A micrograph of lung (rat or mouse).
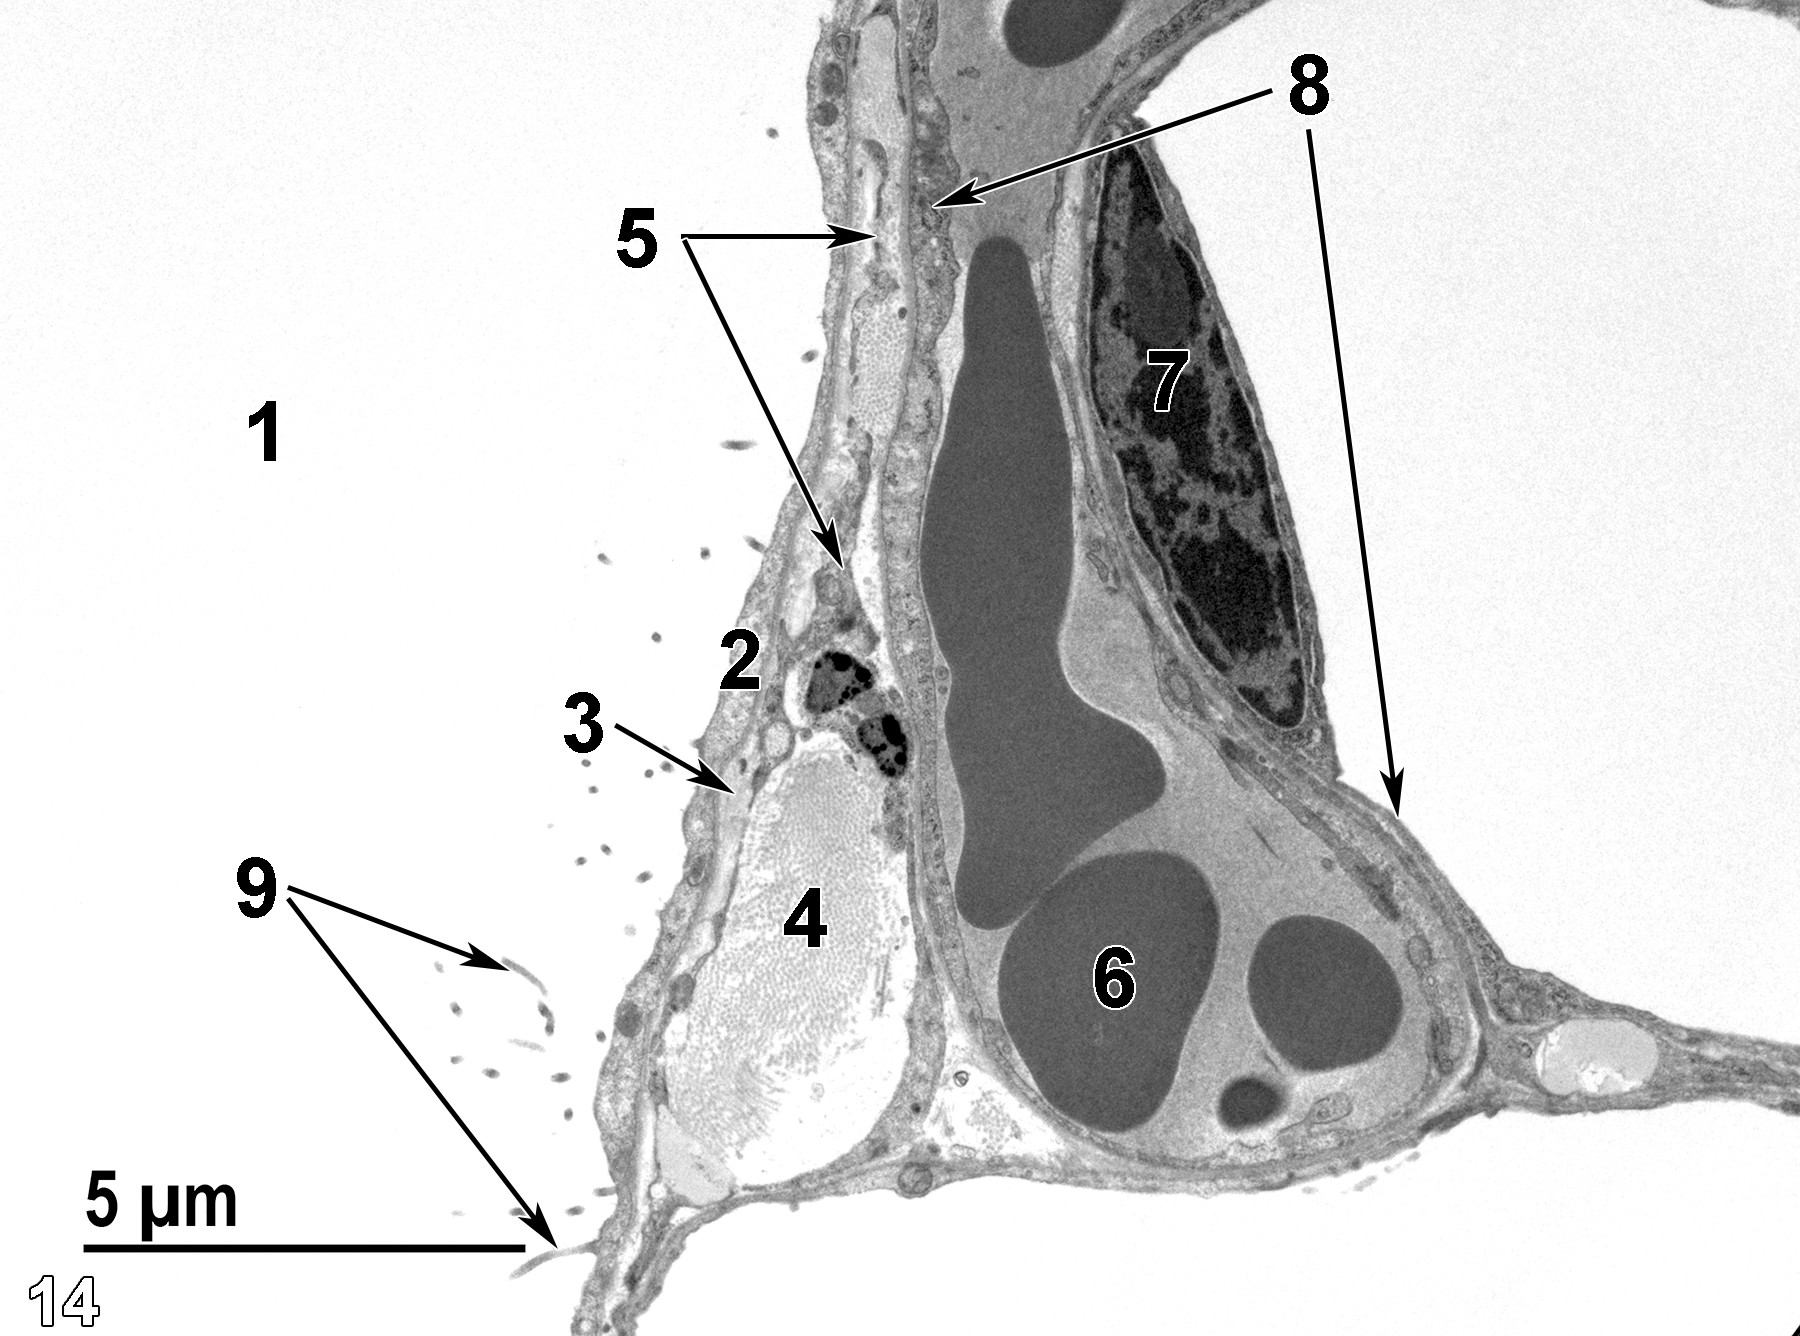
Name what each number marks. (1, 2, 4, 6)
1 - pleural cavity
2 - pleural mesothelial cell layer
4 - collagen bundles
6 - erythrocytes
